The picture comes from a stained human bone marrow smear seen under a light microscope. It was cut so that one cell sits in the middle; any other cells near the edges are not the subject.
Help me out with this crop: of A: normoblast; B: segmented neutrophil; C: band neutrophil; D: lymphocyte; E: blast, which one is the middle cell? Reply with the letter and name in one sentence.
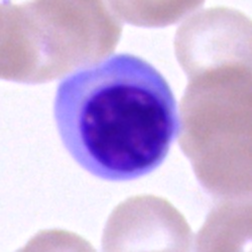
Option A is correct; the cell in the middle is a normoblast.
